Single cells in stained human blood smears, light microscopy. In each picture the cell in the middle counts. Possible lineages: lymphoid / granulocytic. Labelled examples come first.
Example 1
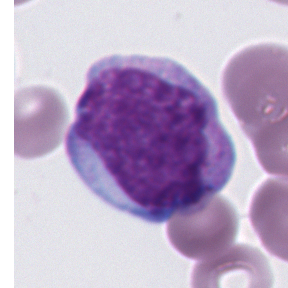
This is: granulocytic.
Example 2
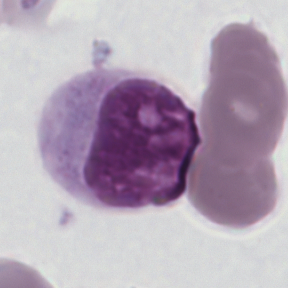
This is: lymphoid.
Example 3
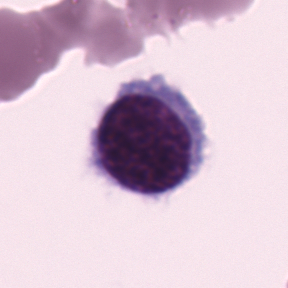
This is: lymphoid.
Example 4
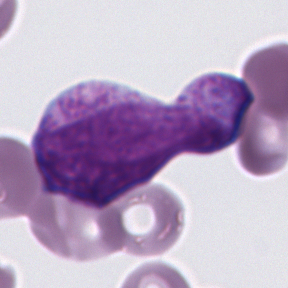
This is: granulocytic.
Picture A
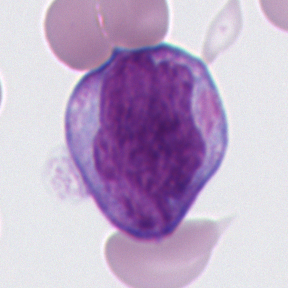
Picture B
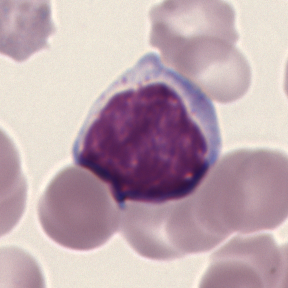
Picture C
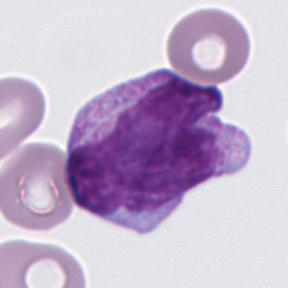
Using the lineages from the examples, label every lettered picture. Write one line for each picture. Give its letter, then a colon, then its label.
A: granulocytic.
B: lymphoid.
C: granulocytic.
